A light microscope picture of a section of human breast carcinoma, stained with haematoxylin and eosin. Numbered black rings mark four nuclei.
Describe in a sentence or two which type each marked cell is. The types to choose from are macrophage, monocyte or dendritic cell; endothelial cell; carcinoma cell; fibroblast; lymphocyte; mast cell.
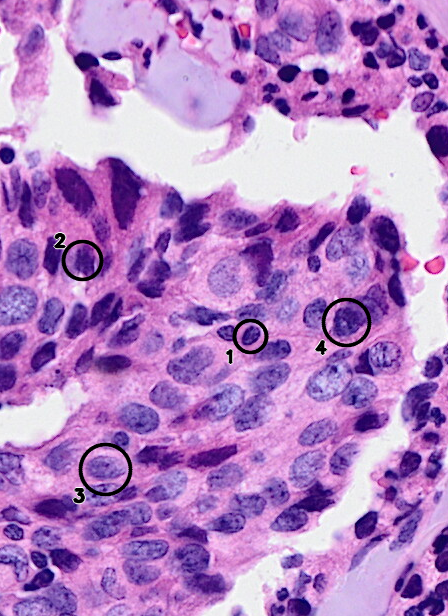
Cell 1 is a lymphocyte. Cells 2, 3 and 4 are carcinoma cells.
